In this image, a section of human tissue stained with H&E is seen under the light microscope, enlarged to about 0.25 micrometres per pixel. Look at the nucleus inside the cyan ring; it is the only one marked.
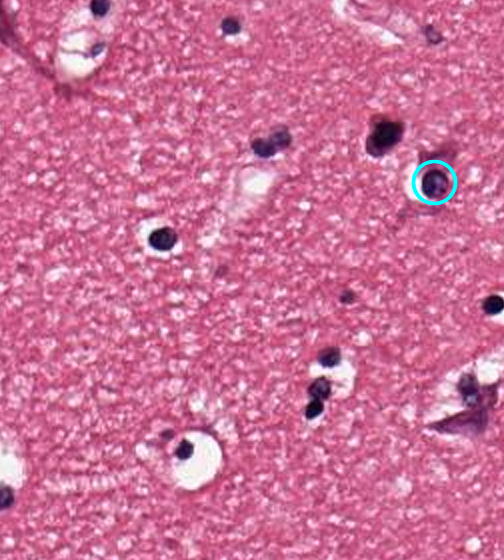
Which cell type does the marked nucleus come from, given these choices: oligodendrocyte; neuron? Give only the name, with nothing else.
oligodendrocyte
